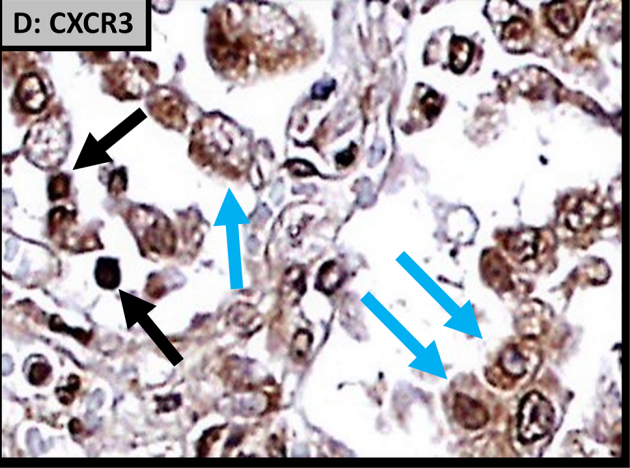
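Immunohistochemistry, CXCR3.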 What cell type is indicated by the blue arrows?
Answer: Macrophages.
